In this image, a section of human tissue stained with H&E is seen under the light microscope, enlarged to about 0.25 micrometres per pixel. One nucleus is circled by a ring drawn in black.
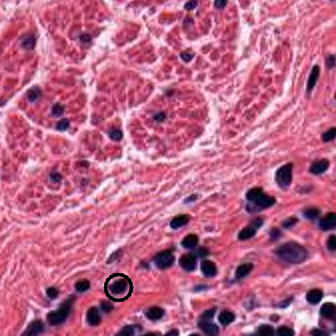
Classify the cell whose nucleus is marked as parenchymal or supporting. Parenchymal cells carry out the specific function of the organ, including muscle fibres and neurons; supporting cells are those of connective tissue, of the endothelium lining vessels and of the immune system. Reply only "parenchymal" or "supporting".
supporting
